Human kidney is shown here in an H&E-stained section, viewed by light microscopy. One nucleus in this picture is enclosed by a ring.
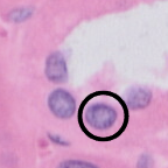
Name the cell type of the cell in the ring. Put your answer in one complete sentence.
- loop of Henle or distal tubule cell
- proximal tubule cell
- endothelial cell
Assigned to a cell type, the cell in the ring is a loop of Henle or distal tubule cell.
